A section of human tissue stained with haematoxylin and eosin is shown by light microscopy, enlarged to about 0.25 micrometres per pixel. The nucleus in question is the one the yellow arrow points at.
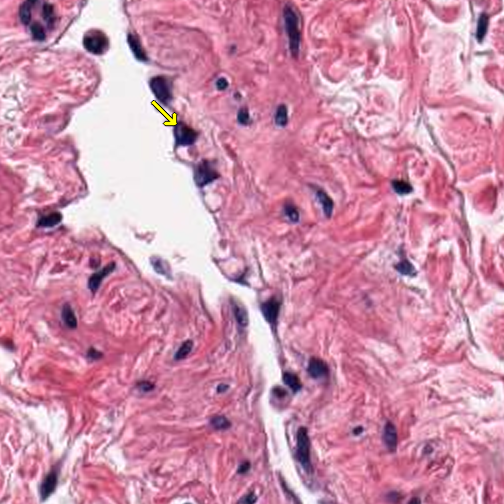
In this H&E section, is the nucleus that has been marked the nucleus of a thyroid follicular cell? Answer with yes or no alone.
no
